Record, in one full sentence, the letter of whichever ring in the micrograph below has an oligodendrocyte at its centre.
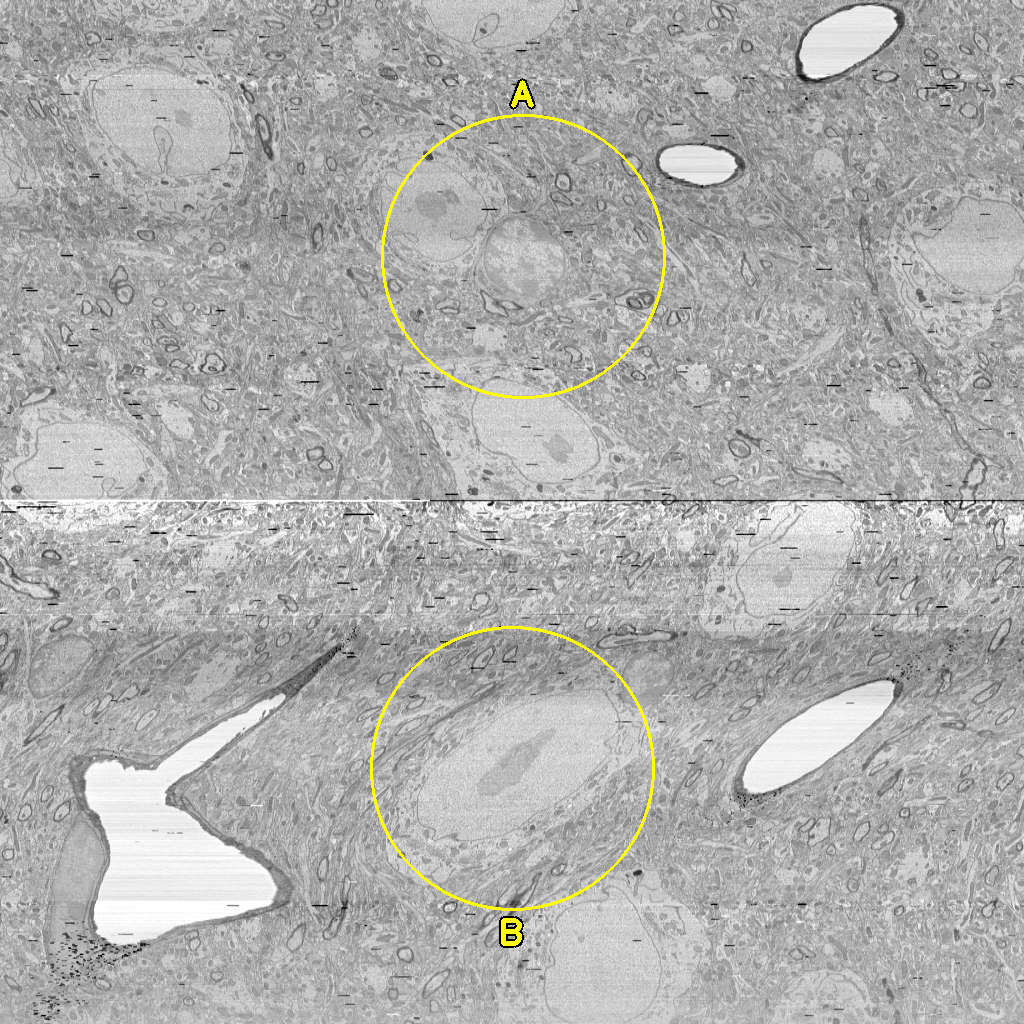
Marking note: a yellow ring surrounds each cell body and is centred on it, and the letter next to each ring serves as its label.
For the cell asked for, the ring centred on it carries the letter A.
